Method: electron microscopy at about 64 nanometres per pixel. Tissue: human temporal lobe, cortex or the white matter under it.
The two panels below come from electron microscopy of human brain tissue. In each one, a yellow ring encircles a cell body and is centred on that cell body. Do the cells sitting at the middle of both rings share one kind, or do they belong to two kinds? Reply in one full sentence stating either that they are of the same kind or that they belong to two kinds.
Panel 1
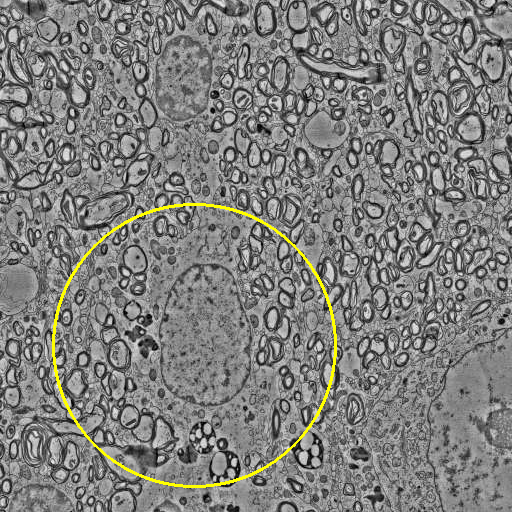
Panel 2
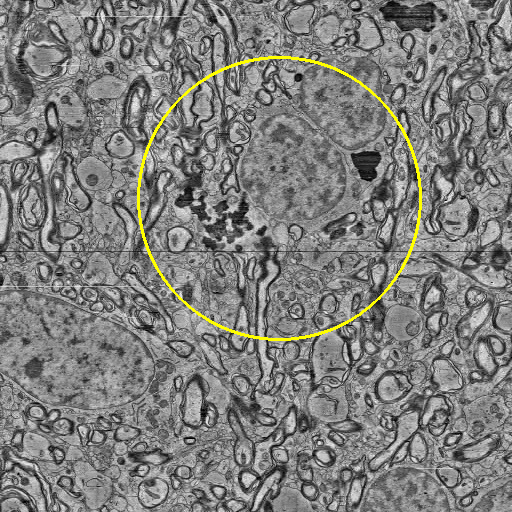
The cells at the centres of the two rings belong to two kinds.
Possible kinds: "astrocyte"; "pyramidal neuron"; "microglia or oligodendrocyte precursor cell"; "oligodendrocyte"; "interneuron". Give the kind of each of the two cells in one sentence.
The cell in the second picture is an oligodendrocyte, and that in the first is an astrocyte.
